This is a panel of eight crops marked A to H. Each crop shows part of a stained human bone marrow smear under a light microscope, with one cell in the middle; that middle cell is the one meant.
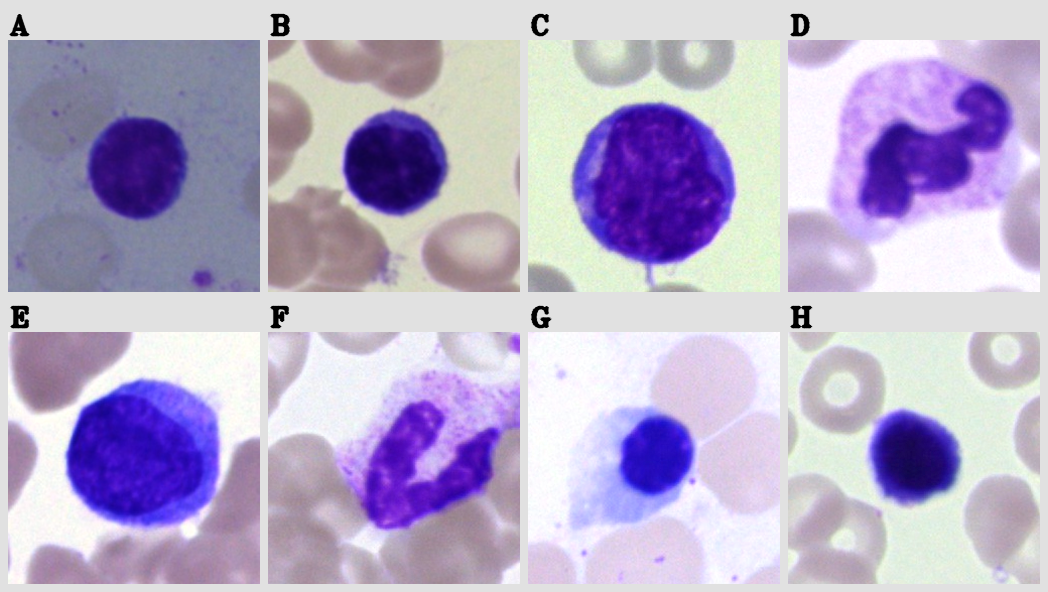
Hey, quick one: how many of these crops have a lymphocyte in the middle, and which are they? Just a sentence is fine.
There are three crops with lymphocytes: A, B and H.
